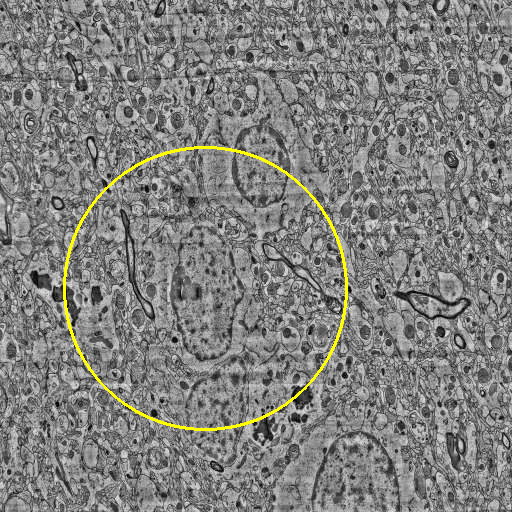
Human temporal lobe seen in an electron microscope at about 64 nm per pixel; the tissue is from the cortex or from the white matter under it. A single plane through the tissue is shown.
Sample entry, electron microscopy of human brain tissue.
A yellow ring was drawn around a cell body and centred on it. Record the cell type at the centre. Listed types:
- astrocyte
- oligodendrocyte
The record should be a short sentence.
The cell at the ring's centre is an astrocyte.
